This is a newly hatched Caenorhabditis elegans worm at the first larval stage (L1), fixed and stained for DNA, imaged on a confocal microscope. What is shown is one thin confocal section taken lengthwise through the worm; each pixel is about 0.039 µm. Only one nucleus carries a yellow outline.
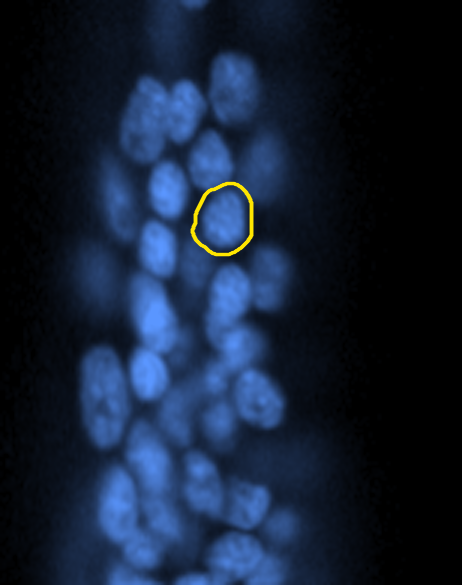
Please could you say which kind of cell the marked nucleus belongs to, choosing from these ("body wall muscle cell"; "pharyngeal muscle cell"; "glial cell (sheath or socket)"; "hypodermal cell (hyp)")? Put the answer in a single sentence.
The cell with the marked nucleus is a glial cell (sheath or socket).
